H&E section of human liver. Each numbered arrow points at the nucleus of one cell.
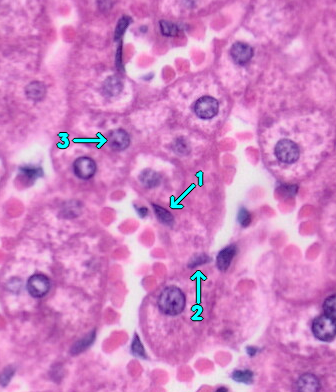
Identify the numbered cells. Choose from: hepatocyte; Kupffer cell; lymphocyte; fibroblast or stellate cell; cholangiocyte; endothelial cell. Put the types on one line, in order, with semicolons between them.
fibroblast or stellate cell; fibroblast or stellate cell; hepatocyte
